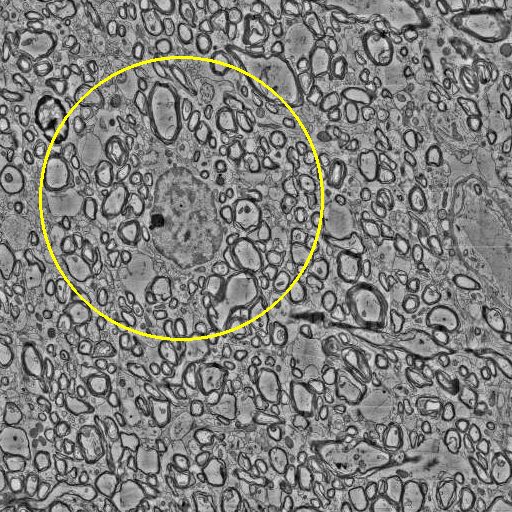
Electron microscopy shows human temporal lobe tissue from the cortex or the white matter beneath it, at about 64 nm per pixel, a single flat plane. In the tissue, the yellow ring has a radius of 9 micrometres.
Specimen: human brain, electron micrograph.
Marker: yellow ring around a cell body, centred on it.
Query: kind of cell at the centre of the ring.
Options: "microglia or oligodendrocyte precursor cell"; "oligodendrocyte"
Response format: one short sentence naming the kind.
This cell body belongs to an oligodendrocyte.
